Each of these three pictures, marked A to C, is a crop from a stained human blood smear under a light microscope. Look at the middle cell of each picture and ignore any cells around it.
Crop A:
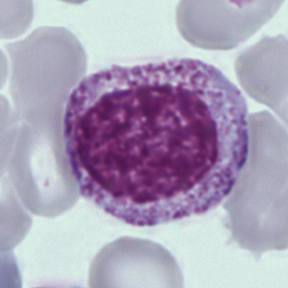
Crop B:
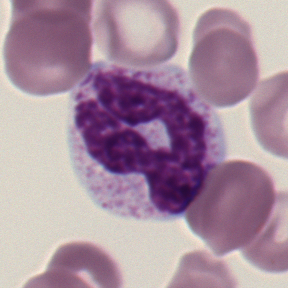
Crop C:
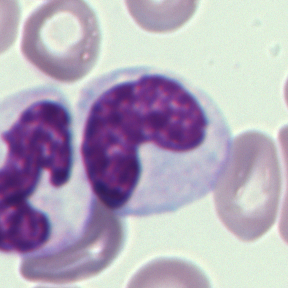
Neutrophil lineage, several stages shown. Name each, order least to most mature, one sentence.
Ordered from least to most mature, the cells run crop A (a myelocyte), crop C (a band neutrophil) and crop B (a segmented neutrophil).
